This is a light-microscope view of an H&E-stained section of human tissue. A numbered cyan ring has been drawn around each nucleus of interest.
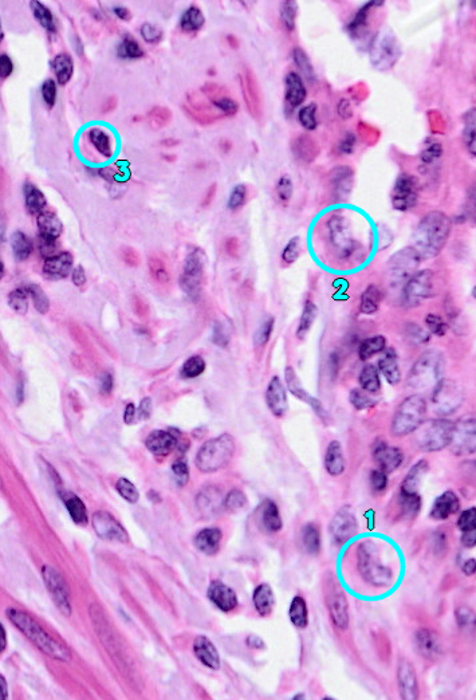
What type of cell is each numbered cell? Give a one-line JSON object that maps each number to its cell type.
{"1": "macrophage or monocyte", "2": "endothelial cell", "3": "lymphocyte"}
